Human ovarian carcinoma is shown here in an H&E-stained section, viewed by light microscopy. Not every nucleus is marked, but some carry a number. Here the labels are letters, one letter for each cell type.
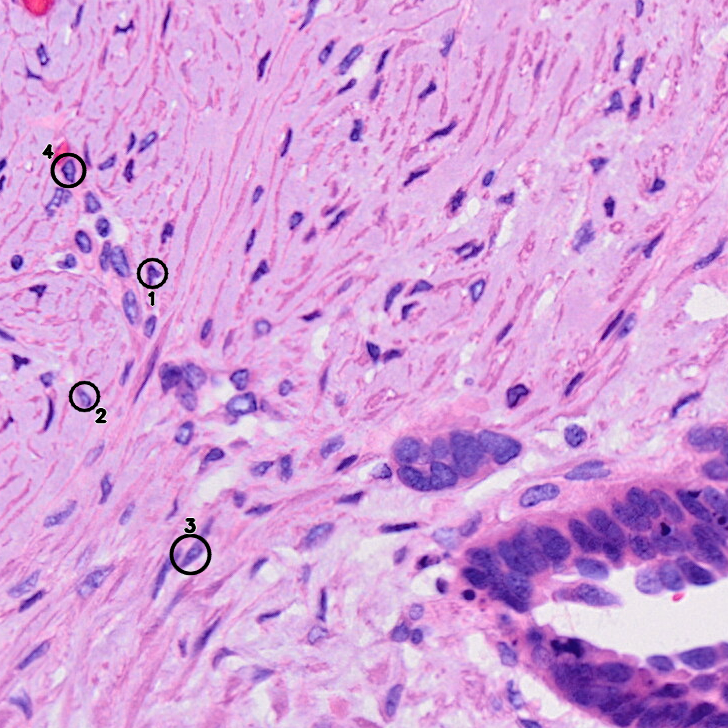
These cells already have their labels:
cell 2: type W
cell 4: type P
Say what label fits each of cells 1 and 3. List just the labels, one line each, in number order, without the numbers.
type W
type W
